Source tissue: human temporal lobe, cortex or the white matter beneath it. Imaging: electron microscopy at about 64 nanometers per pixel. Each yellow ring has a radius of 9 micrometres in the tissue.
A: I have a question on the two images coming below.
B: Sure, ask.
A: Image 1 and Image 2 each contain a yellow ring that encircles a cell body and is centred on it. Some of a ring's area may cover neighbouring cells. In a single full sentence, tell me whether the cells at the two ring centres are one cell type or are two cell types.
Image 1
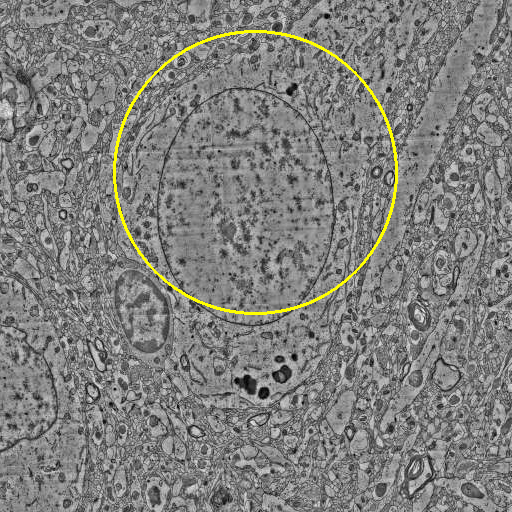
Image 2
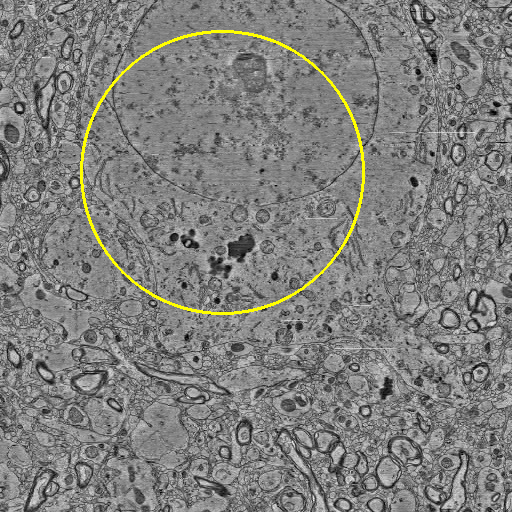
As for the ring-centre cells, the one in Image 1 and the one in Image 2 are one cell type.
